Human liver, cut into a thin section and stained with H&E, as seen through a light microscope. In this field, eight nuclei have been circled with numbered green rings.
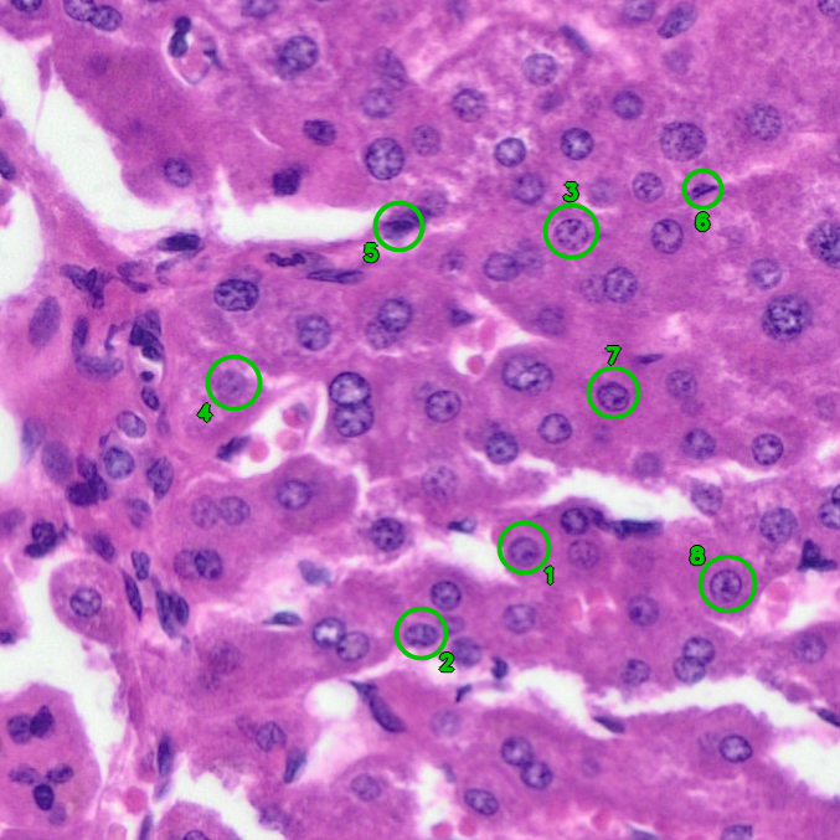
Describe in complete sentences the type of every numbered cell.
Cell 1 is a hepatocyte, cell 2 is a cholangiocyte, cell 3 is a hepatocyte, cell 4 is a hepatocyte, cell 5 is a fibroblast or stellate cell, cell 6 is a fibroblast or stellate cell, cell 7 is a hepatocyte and cell 8 is a hepatocyte.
